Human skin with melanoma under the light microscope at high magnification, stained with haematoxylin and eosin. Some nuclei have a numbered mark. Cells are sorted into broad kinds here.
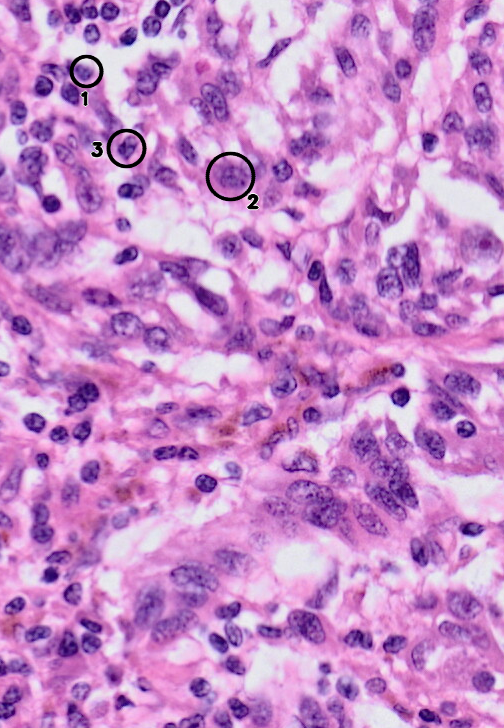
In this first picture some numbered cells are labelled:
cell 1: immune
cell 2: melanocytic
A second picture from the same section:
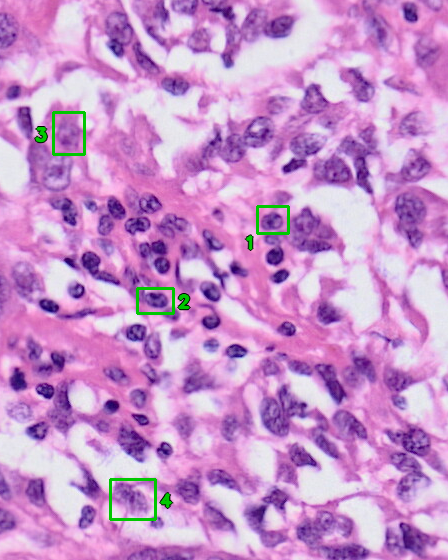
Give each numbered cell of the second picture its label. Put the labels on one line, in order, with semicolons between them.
immune; immune; melanocytic; melanocytic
